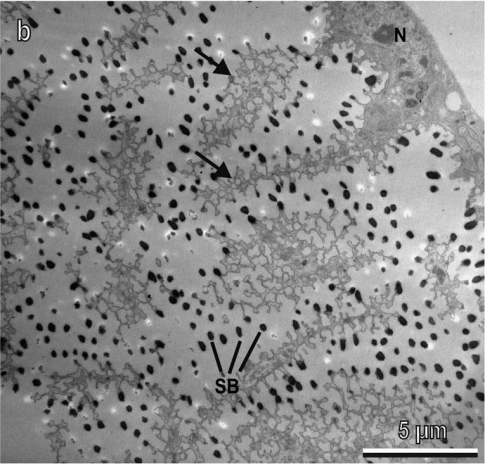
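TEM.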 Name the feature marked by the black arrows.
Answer: Arborisations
